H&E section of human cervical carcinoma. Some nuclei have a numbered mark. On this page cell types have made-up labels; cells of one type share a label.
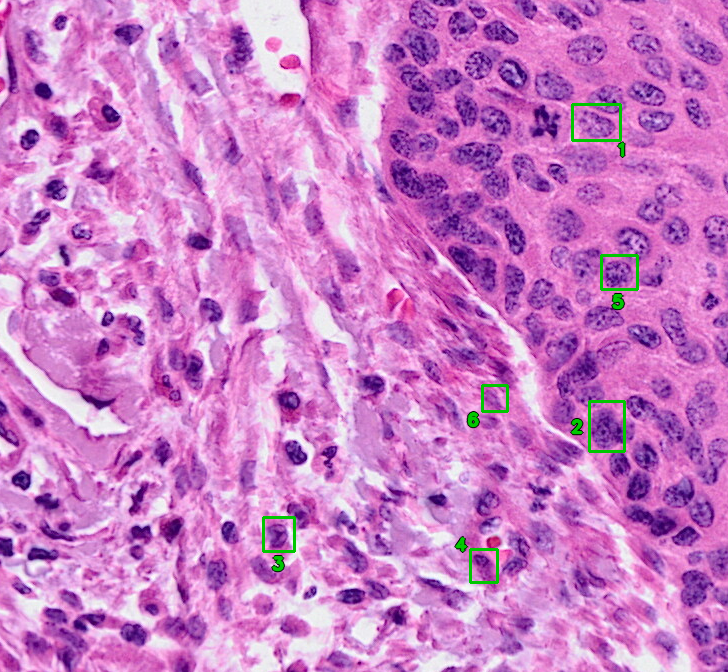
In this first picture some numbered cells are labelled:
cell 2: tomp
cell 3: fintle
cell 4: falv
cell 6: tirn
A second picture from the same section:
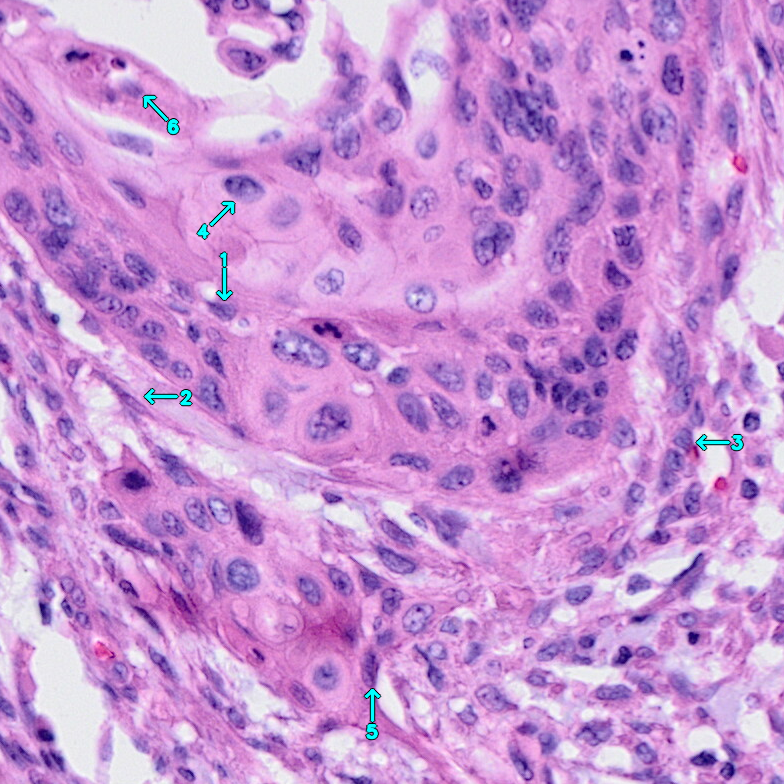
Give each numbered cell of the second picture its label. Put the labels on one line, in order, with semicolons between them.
tomp; tirn; falv; tomp; tomp; tomp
